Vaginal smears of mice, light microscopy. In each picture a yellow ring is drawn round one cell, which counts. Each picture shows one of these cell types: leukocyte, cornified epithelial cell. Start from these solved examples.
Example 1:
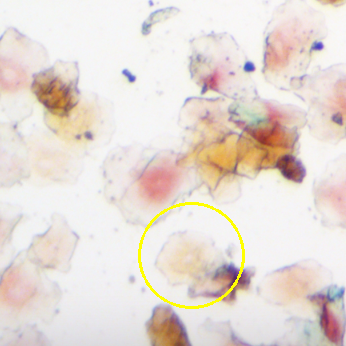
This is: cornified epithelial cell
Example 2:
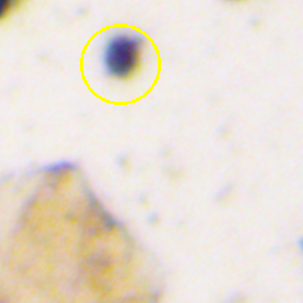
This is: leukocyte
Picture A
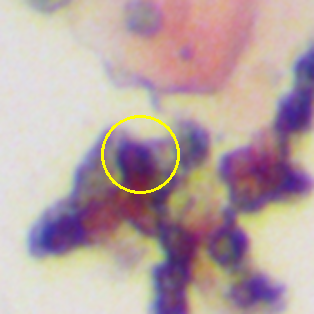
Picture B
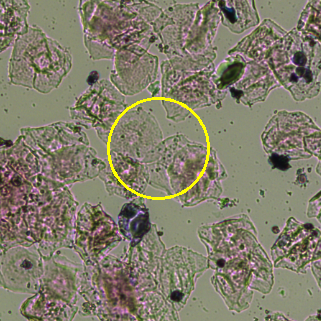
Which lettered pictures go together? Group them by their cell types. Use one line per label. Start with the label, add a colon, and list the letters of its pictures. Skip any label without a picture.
leukocyte: A
cornified epithelial cell: B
